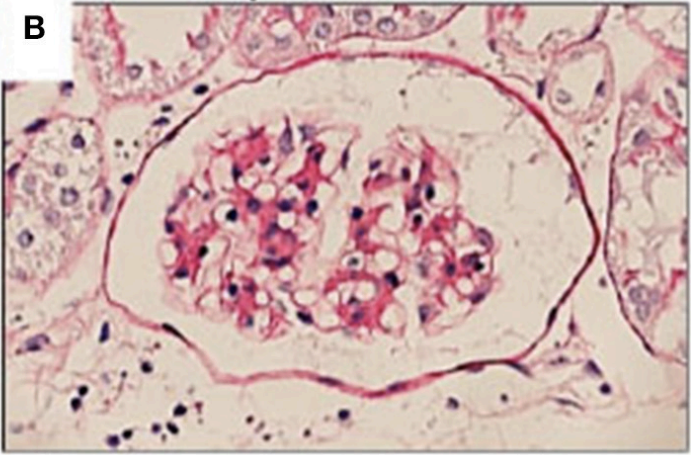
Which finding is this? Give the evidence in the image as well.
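Mesangial matrix is expanded. Broad, irregular pink-stained material fills the centres of the glomerular tuft between the capillary loops. The tuft has few nuclei relative to its pink-stained area.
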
